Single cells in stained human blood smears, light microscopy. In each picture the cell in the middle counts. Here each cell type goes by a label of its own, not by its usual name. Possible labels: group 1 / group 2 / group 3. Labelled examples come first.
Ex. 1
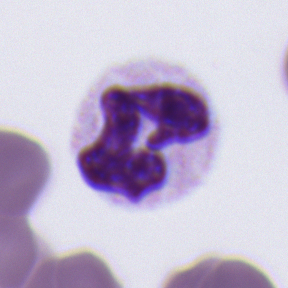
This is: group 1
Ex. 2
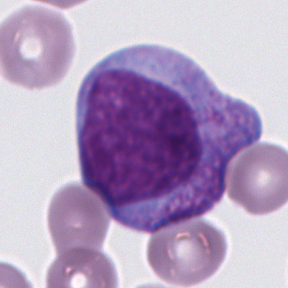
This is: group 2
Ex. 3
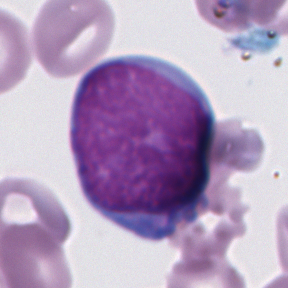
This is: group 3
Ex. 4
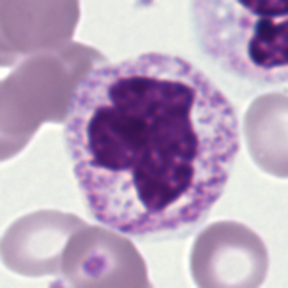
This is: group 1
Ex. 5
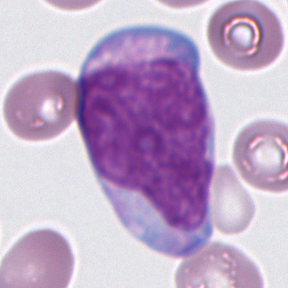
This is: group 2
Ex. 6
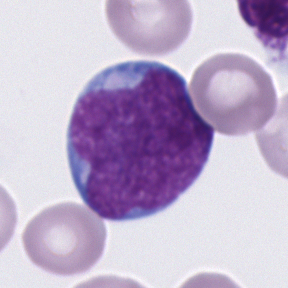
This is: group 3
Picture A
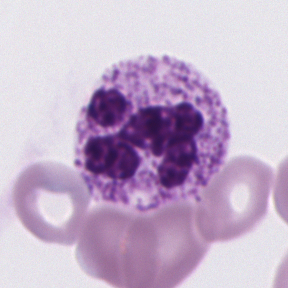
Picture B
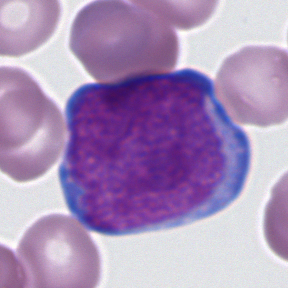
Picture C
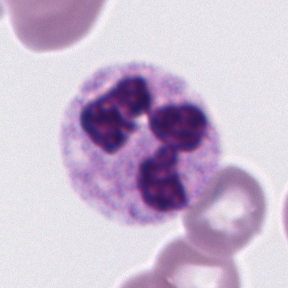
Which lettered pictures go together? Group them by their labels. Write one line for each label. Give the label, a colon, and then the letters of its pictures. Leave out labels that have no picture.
group 1: A, C
group 3: B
